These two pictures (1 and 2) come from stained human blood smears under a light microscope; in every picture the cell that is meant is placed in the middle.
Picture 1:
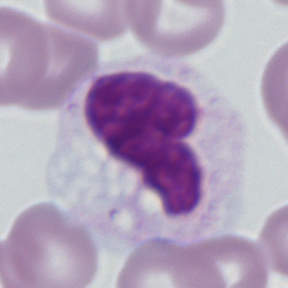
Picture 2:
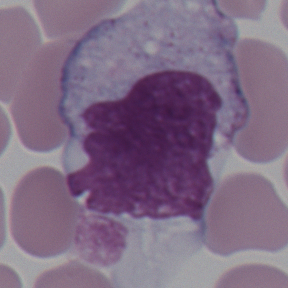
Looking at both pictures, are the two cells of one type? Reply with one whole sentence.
No. Picture 1 shows a segmented neutrophil, but picture 2 shows a monocyte.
